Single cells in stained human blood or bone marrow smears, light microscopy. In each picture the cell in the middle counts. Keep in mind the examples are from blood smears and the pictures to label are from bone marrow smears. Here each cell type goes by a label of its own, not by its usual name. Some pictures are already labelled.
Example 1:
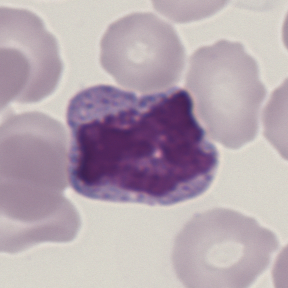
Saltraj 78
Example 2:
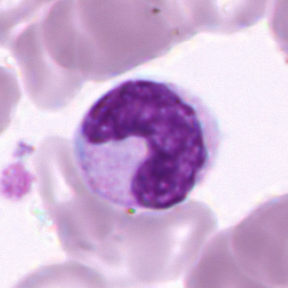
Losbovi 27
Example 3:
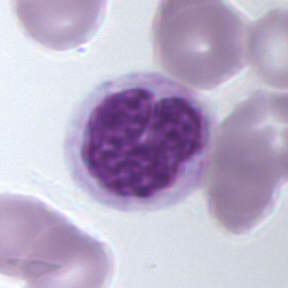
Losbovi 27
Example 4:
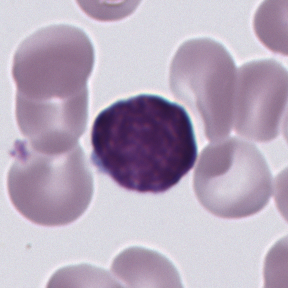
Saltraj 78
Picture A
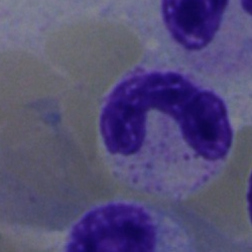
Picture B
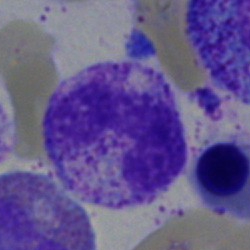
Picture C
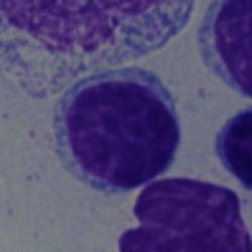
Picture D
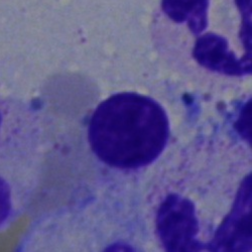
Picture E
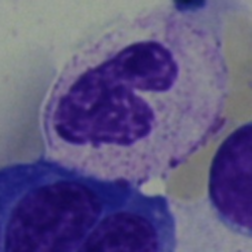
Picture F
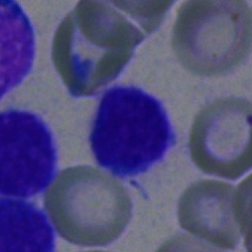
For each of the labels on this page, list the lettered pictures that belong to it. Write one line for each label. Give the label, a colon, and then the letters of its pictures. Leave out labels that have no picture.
Saltraj 78: C, D, F
Losbovi 27: A, B, E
